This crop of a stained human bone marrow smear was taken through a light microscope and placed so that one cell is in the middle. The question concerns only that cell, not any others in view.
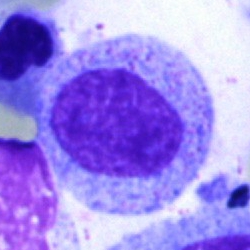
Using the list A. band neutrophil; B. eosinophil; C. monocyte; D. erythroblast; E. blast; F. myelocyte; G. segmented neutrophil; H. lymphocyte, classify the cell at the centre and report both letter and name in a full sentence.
The cell at the centre is a myelocyte, and option F accordingly is correct.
